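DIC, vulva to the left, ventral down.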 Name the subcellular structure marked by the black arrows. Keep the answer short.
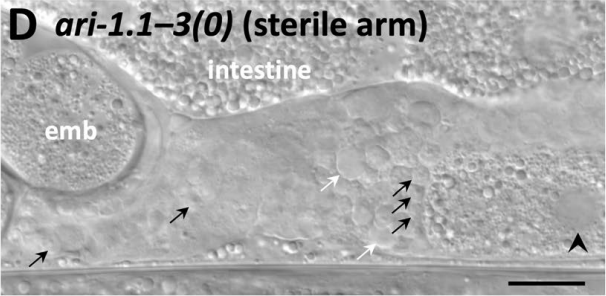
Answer: Sperm nuclei.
